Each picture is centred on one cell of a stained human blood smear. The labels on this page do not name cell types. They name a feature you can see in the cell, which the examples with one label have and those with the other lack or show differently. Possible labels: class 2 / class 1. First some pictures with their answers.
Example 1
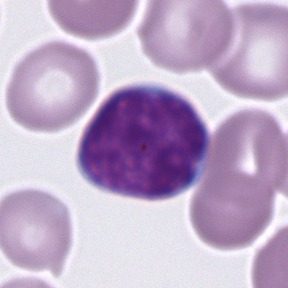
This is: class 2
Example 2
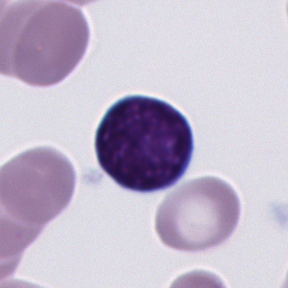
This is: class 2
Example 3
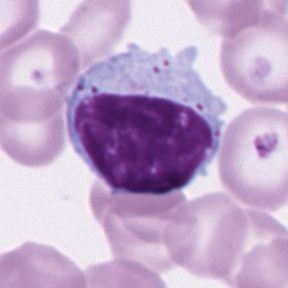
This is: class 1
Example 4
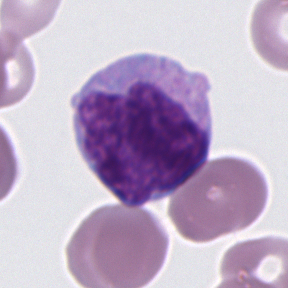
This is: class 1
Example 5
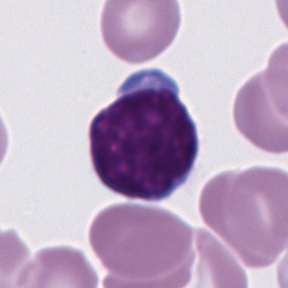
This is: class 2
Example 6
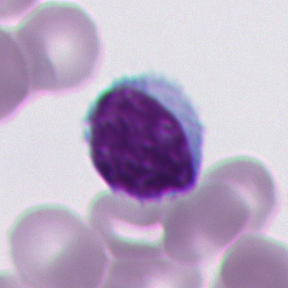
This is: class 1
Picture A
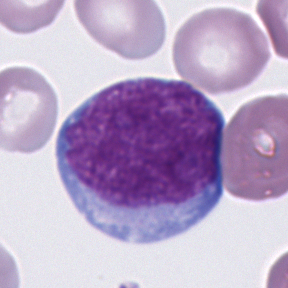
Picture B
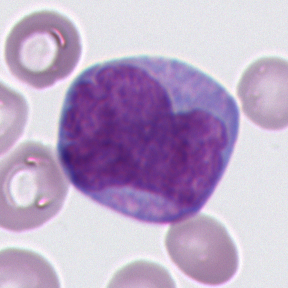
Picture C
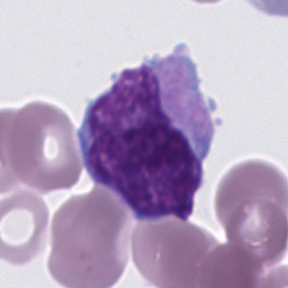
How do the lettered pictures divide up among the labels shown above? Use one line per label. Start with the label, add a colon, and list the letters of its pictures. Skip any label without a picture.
class 2: A, B
class 1: C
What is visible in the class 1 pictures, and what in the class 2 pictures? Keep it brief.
class 1, ragged outline or projections; class 2, smooth outline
